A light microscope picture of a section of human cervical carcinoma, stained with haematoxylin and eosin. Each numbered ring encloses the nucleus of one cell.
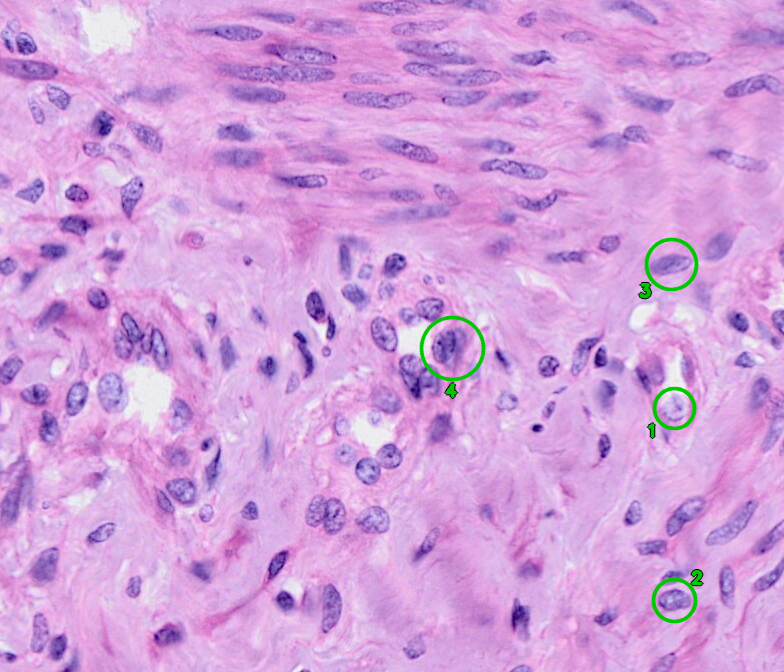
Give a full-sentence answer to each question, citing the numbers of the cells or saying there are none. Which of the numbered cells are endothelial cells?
The cells labelled 1 and 4 in this section are endothelial cells.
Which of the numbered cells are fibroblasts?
As for the numbered cells, only cell 3 is a fibroblast.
